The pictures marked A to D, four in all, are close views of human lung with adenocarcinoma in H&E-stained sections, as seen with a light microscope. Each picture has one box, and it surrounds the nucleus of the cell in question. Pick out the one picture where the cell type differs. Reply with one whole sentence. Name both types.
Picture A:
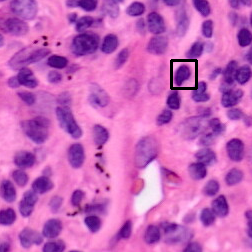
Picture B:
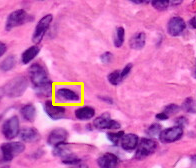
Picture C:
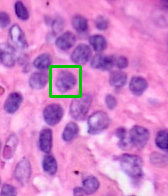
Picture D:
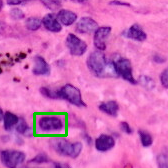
The others show lymphocytes, but picture D shows a plasma cell.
